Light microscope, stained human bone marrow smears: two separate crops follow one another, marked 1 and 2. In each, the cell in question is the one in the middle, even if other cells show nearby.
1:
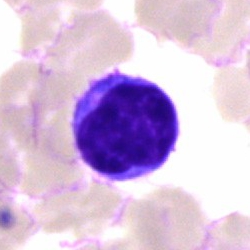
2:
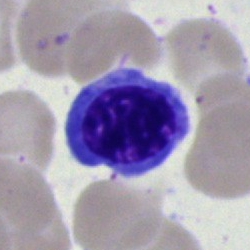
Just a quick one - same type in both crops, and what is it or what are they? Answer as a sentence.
No, crop 1 features a lymphocyte, and crop 2 features a normoblast.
